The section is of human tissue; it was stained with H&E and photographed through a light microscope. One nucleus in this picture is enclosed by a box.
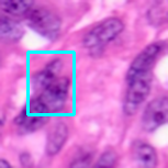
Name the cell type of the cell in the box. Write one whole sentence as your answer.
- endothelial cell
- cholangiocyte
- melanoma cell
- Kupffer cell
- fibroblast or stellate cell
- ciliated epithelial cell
The cell type represented by the cell in the box is that of a melanoma cell.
